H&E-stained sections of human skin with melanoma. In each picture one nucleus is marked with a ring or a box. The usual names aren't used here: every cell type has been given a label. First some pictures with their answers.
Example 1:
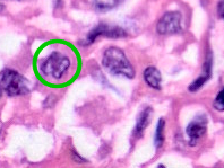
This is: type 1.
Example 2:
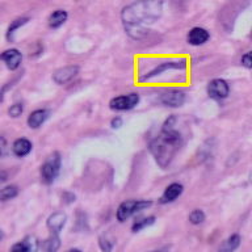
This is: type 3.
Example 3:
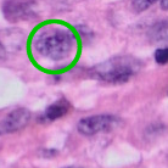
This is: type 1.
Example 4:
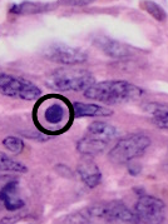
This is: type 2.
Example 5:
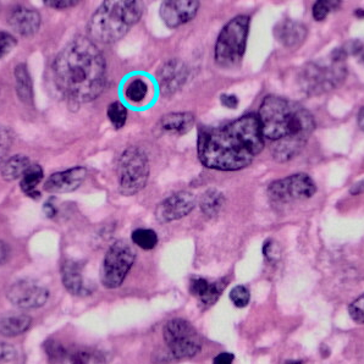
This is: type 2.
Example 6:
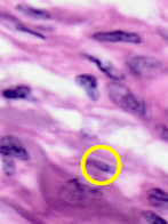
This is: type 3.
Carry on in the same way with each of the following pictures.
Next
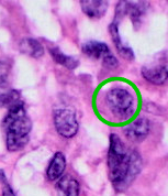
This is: type 1.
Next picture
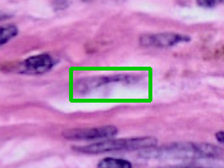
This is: type 3.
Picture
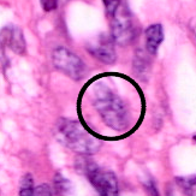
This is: type 1.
